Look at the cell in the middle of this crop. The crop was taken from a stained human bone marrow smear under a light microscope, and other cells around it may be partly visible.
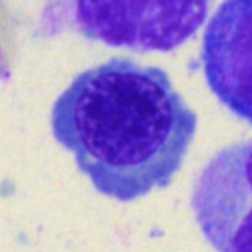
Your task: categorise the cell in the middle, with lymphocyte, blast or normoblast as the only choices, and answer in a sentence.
The cell featured at the centre of this crop is a normoblast.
